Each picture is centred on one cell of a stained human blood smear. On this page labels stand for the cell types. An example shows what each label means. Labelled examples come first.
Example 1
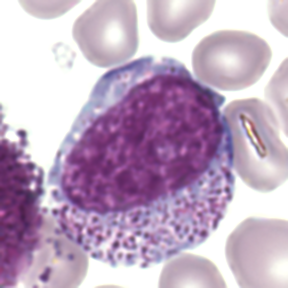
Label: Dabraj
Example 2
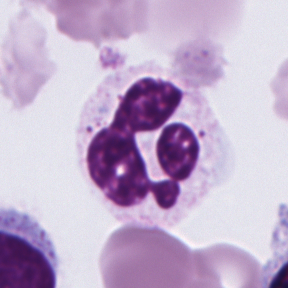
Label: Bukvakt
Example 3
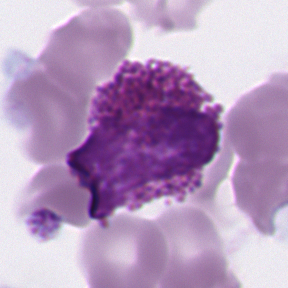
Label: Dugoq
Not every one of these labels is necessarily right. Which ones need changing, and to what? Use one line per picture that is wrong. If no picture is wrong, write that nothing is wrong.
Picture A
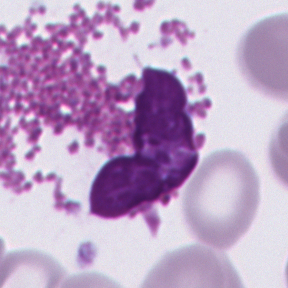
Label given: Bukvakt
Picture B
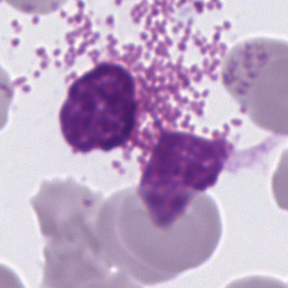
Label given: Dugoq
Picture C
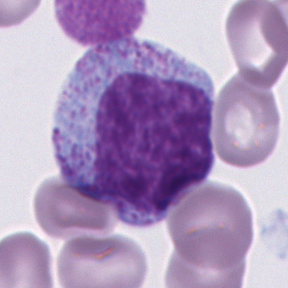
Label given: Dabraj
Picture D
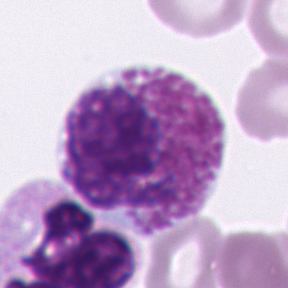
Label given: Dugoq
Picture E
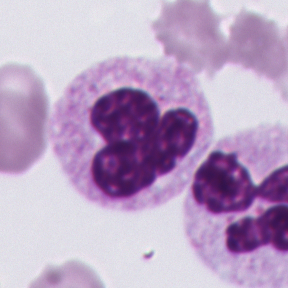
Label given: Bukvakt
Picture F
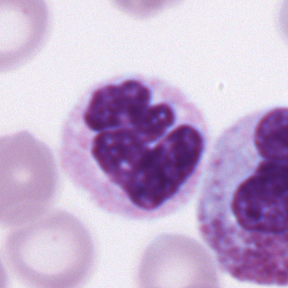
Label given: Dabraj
A is labelled Bukvakt; correct label: Dugoq
F is labelled Dabraj; correct label: Bukvakt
